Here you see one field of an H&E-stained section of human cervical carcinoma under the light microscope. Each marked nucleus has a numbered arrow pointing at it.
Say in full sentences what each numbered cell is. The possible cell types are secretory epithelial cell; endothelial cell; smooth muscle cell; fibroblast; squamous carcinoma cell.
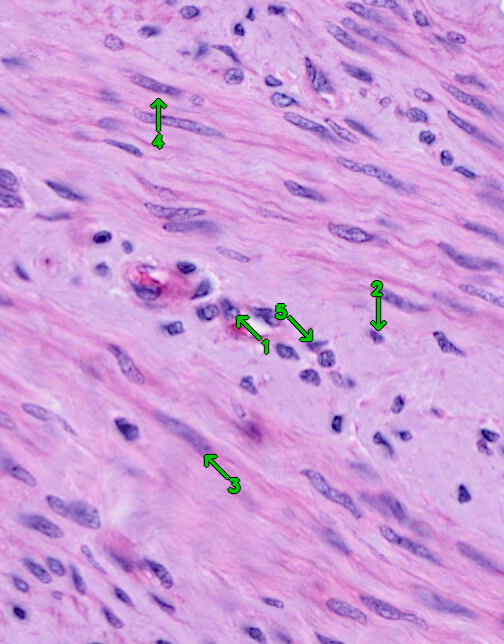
Cell 1 is an endothelial cell, cell 2 is a fibroblast, cell 3 is a smooth muscle cell, cell 4 is a smooth muscle cell and cell 5 is a fibroblast.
